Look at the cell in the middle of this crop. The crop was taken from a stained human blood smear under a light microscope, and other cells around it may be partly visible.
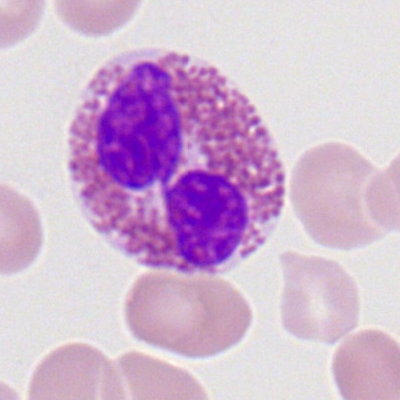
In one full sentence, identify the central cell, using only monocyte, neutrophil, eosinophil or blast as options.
The central cell in this smear crop is an eosinophil.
